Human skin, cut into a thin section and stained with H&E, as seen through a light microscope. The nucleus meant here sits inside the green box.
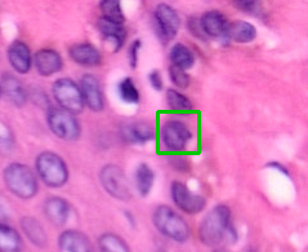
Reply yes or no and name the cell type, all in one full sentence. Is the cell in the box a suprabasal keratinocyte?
No, a suprabasal keratinocyte is not what the cell in the box is; it is a basal keratinocyte.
